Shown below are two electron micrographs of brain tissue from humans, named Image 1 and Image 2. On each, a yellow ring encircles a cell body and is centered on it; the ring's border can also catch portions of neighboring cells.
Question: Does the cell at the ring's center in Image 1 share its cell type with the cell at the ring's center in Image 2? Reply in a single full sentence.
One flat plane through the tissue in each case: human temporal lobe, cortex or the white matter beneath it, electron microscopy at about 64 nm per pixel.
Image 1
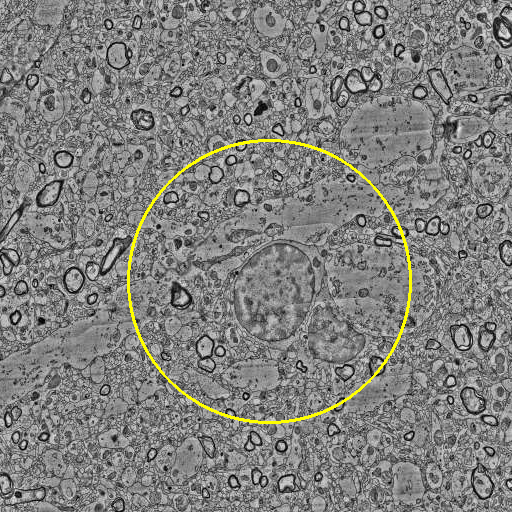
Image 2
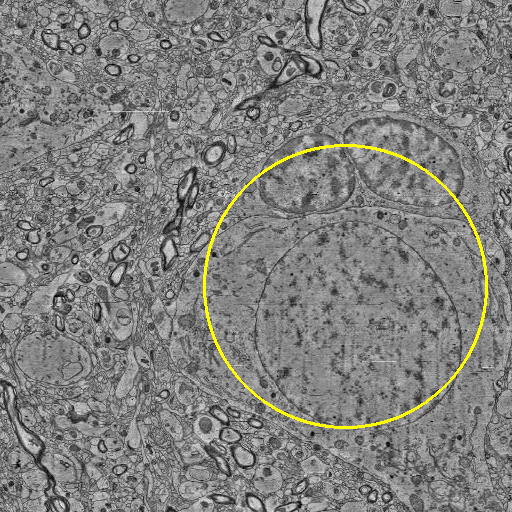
No, the two cells at the ring centers, in Image 1 and Image 2, are of two cell types.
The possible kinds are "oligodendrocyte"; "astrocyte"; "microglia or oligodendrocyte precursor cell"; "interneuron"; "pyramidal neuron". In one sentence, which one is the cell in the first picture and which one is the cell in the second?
The cell ringed in the second picture is a pyramidal neuron, whereas the one ringed in the first is an oligodendrocyte.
